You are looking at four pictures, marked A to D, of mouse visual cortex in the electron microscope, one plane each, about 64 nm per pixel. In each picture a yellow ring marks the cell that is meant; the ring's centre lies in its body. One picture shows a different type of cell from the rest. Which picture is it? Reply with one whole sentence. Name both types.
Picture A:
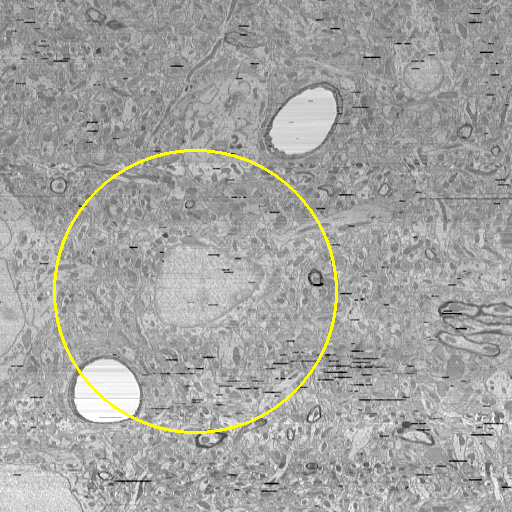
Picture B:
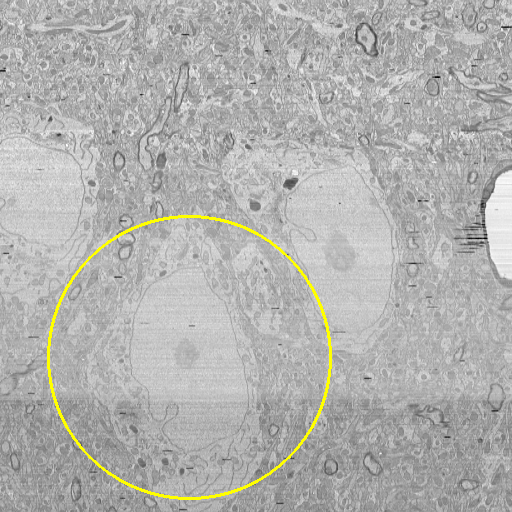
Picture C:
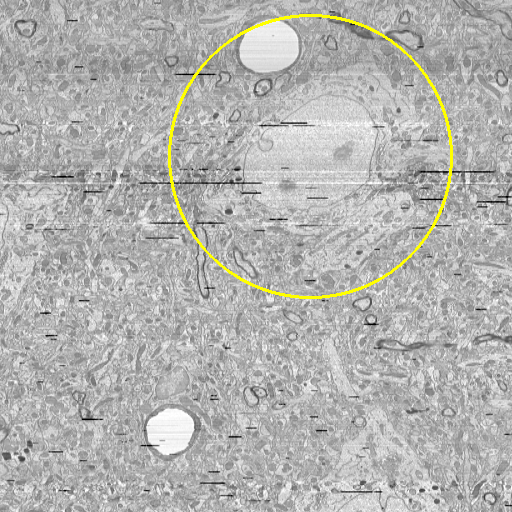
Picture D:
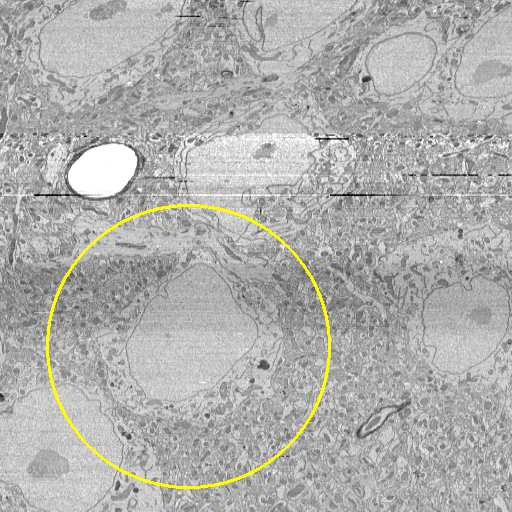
The others show excitatory neurons, but picture A shows an astrocyte.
